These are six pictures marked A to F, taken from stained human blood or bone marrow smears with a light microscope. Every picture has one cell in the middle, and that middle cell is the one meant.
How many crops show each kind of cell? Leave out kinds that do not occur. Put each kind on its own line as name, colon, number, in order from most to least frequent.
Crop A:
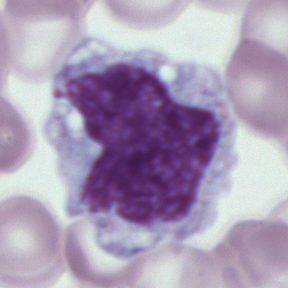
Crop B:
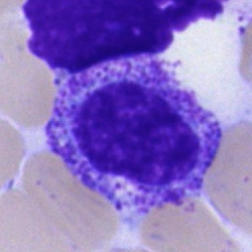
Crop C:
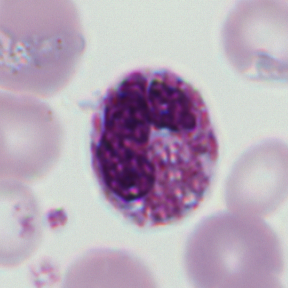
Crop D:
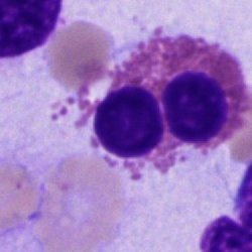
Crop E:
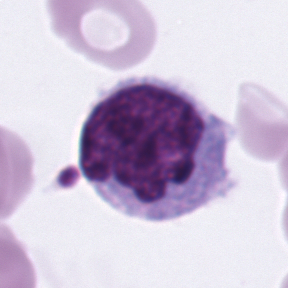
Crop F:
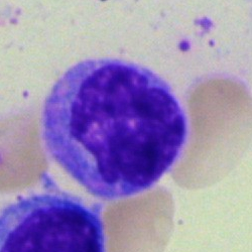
monocyte: 3
eosinophil: 2
myelocyte: 1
